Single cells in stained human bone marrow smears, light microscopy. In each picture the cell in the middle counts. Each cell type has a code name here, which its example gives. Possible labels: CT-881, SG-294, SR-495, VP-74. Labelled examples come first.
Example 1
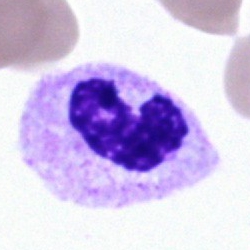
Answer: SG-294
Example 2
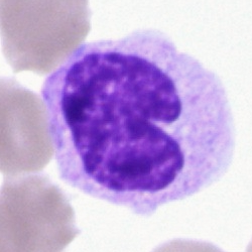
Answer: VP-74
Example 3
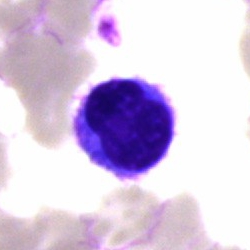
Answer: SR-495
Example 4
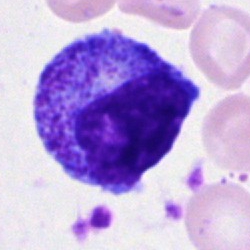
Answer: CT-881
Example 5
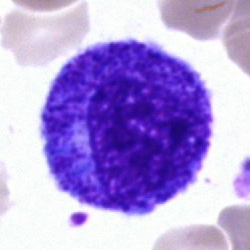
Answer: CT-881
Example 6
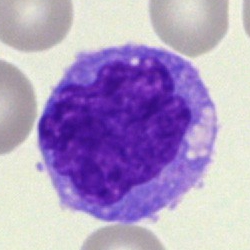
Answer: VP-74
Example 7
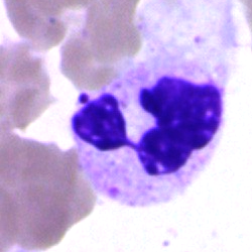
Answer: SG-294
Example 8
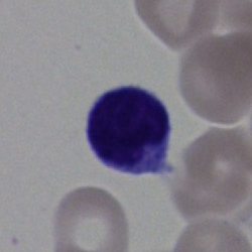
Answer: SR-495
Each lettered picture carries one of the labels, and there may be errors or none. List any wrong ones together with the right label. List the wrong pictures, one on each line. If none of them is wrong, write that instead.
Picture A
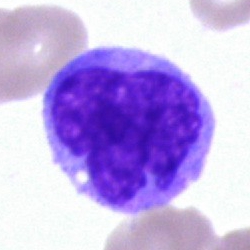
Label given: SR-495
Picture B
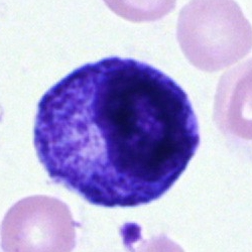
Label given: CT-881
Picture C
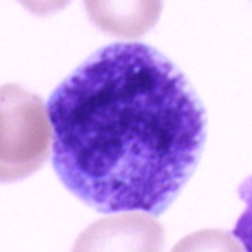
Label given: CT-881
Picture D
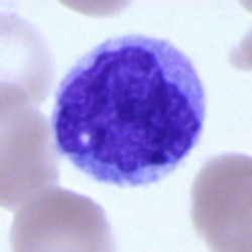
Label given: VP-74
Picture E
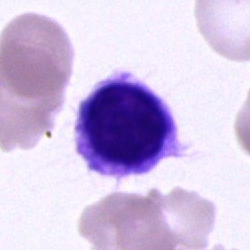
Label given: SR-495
Wrong: A (SR-495); correct: VP-74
